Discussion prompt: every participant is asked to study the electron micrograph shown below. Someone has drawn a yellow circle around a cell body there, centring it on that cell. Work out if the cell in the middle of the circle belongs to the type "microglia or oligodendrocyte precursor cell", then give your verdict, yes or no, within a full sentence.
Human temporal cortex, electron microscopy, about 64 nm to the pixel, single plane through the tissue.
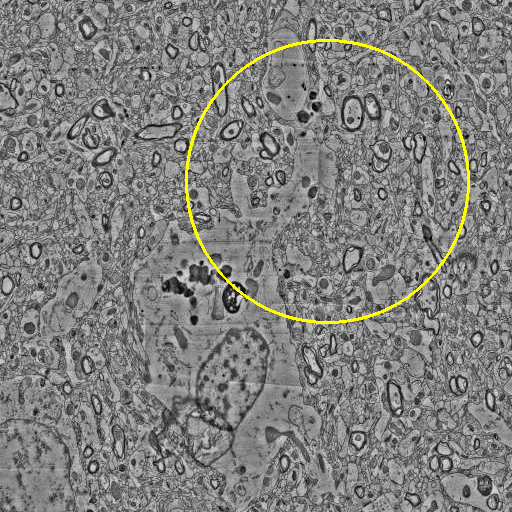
Yes, my verdict is that the cell in the circle's centre is of that type.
